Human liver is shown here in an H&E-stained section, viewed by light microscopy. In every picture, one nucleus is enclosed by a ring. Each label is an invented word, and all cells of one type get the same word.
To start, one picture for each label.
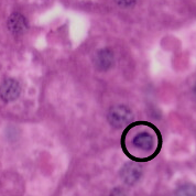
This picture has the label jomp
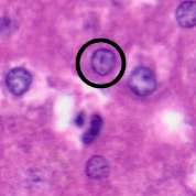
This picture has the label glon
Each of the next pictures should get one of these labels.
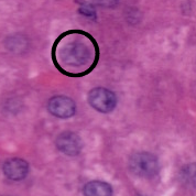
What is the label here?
glon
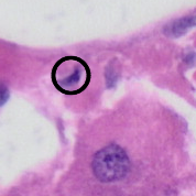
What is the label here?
jomp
